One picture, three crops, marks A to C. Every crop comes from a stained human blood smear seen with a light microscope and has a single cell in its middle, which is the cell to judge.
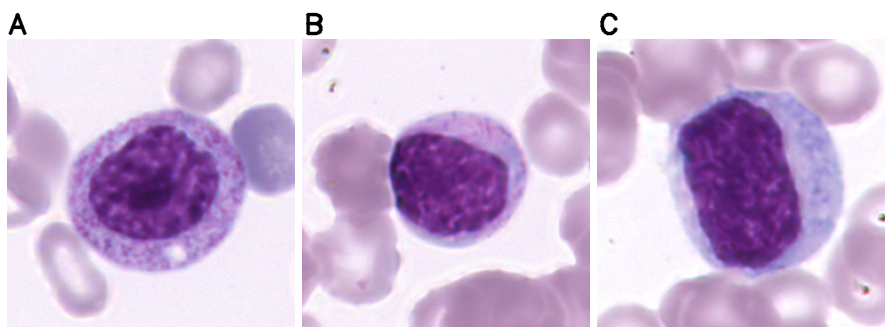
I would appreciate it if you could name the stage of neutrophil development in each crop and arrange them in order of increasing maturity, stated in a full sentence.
From the least mature to the most mature, the sequence runs crop C (a promyelocyte), crop A (a myelocyte) and crop B (a metamyelocyte).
